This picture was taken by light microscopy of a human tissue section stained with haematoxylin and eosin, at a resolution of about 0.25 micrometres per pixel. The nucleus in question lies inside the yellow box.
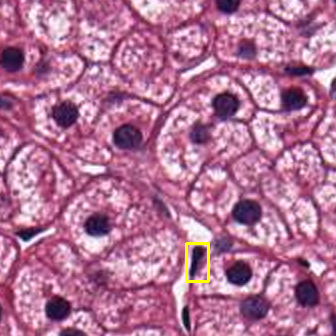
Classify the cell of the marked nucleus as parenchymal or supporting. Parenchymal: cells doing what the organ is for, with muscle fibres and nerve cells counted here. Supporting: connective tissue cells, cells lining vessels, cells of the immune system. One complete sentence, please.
The indicated nucleus in this section belongs to a supporting cell.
